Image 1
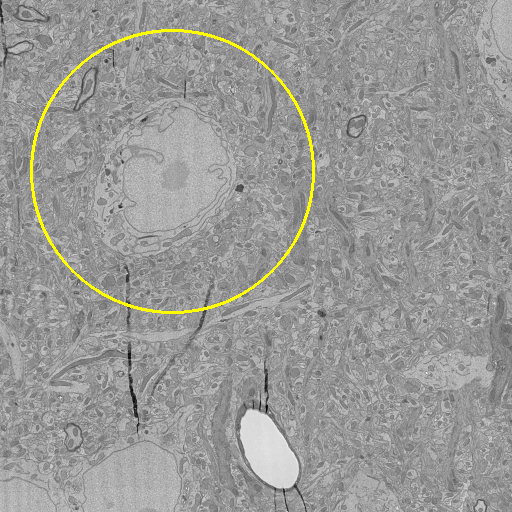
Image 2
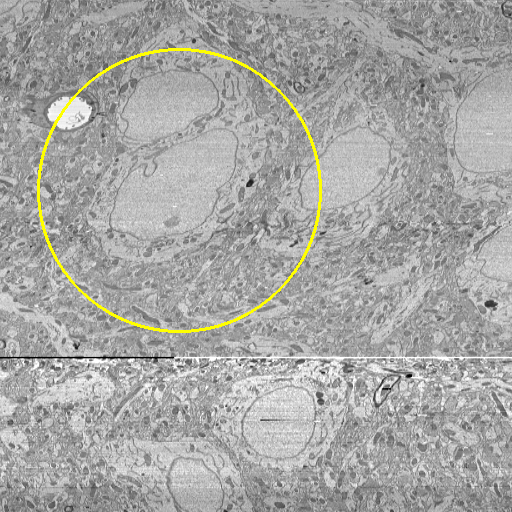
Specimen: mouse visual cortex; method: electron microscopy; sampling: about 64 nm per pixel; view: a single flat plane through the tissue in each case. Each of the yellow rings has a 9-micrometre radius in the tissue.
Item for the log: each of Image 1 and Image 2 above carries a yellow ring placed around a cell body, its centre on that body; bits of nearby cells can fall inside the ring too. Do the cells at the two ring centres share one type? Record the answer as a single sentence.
No, the two cells at the ring centres in Image 1 and Image 2 are of two types.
